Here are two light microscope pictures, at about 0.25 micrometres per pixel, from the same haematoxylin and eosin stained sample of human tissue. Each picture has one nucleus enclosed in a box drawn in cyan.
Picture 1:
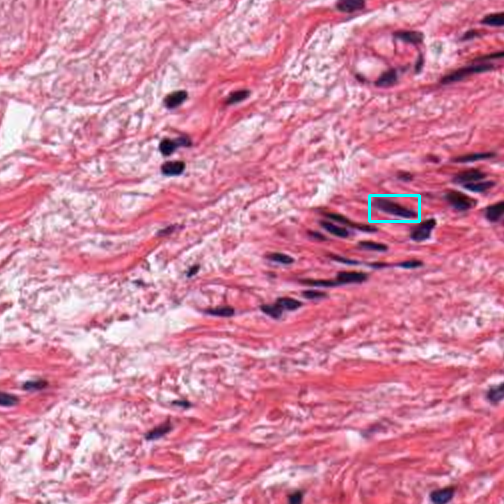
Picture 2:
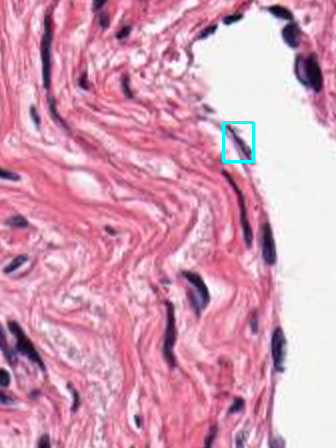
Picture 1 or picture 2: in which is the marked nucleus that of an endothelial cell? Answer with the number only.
2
